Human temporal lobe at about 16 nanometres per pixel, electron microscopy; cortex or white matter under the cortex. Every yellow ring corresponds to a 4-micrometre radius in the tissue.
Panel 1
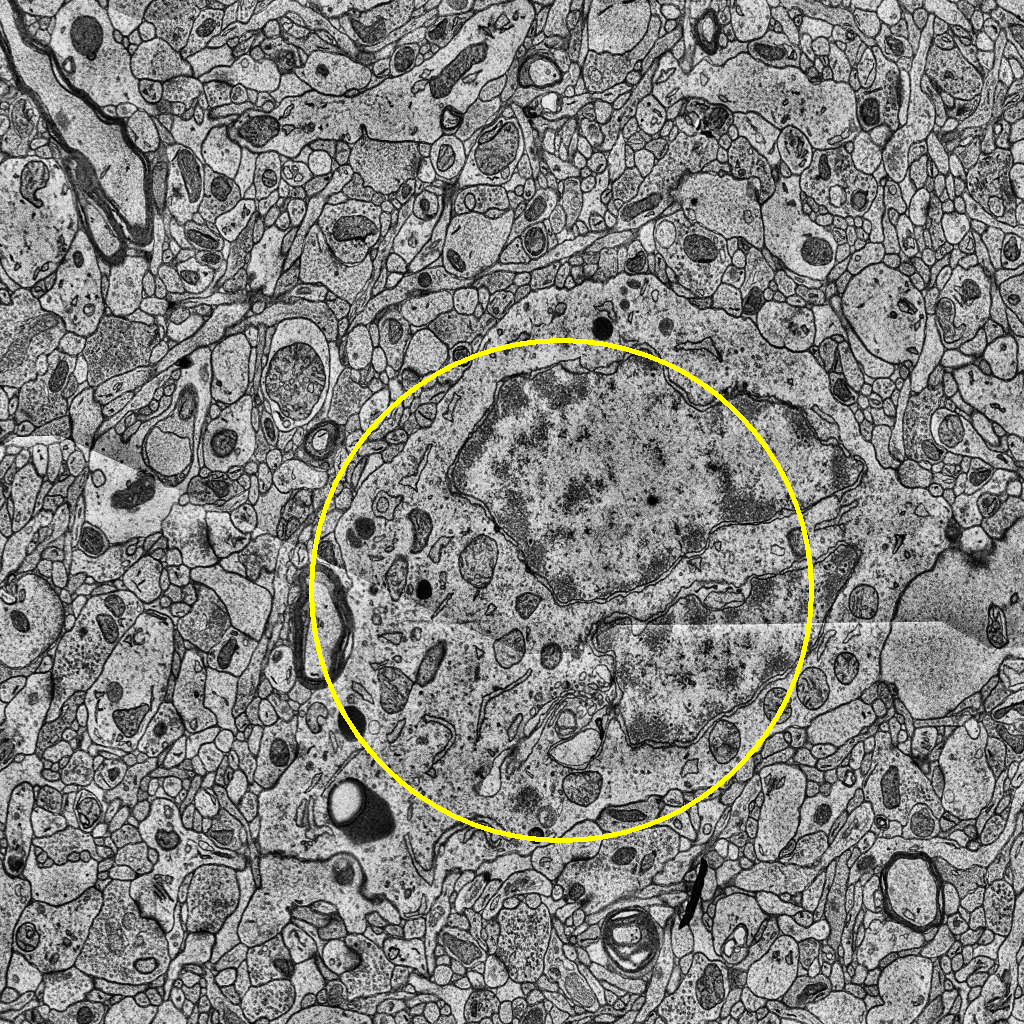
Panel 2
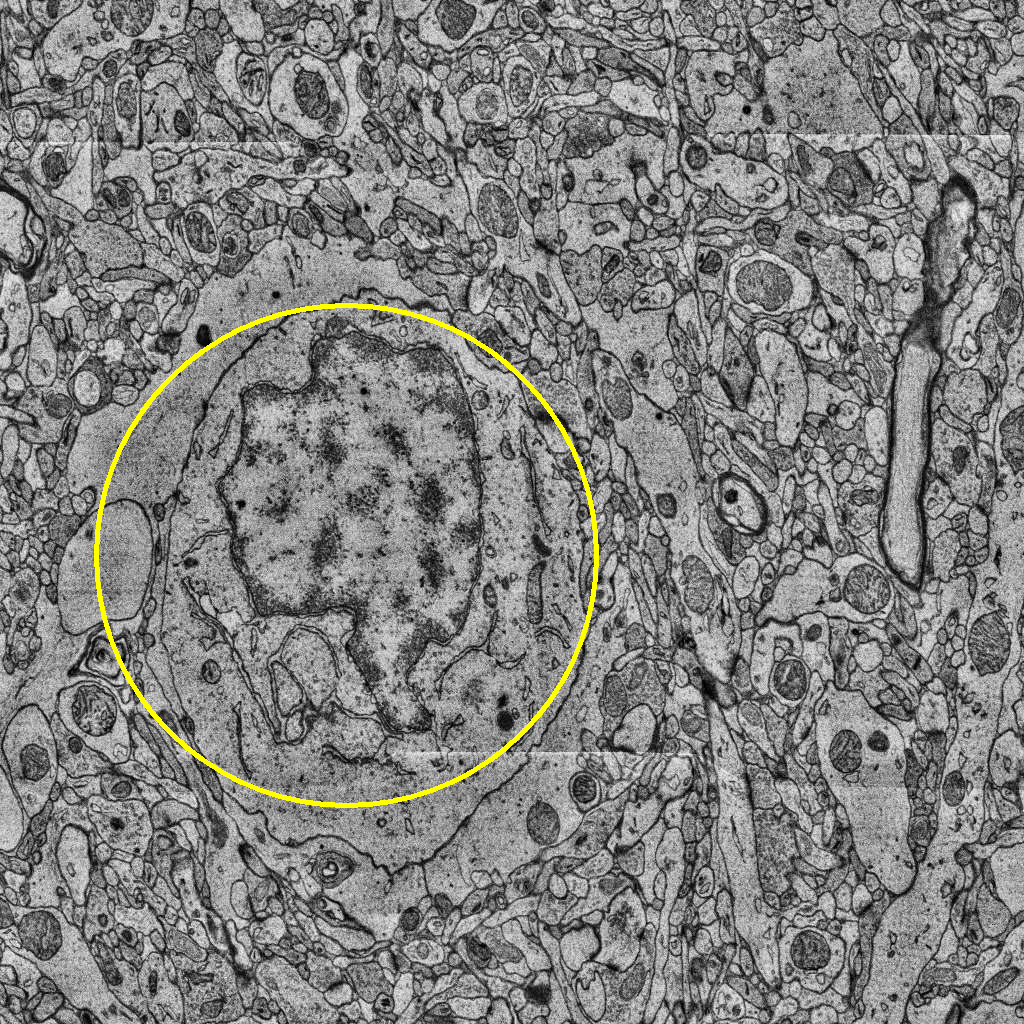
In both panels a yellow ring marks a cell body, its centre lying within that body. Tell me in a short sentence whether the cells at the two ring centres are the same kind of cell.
Yes, they are the same kind of cell.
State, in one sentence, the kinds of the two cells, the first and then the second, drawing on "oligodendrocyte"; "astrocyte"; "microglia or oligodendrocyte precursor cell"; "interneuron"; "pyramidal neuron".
The ring centre holds an interneuron in each of the two pictures.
